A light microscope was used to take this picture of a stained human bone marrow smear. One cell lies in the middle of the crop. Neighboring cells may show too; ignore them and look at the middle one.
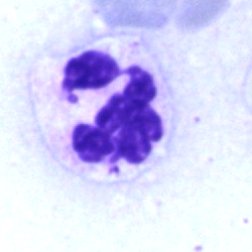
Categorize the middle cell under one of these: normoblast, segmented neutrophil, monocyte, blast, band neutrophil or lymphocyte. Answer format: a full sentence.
As for the central cell, it is a segmented neutrophil.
